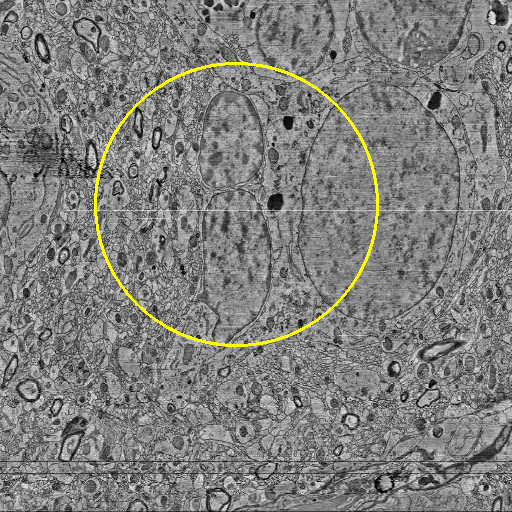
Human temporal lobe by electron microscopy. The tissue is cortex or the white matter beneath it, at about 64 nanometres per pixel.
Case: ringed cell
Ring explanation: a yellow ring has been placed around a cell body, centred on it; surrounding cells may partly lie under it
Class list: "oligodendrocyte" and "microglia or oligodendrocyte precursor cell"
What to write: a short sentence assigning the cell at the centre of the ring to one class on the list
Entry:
The cell at the ring's centre is a microglial cell or oligodendrocyte precursor cell.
